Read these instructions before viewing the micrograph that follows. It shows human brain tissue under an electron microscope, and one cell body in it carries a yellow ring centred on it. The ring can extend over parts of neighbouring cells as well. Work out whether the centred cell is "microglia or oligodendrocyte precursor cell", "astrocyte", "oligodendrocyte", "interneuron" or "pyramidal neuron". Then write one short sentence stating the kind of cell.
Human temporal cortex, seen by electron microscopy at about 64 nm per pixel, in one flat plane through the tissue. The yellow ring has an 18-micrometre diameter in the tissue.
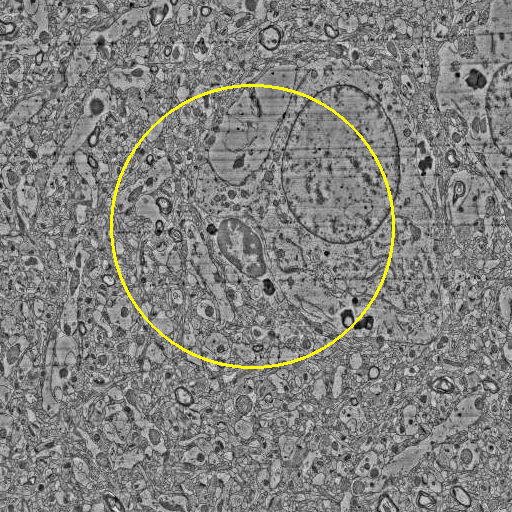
The ringed cell is a microglial cell or oligodendrocyte precursor cell.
